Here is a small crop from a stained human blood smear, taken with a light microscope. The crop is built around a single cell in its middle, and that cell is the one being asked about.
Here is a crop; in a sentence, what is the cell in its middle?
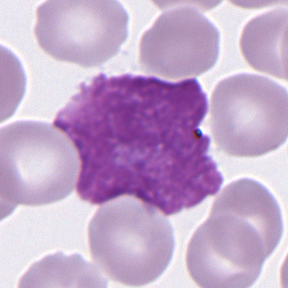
Classified as a smudge cell is the cell in the middle of this crop.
